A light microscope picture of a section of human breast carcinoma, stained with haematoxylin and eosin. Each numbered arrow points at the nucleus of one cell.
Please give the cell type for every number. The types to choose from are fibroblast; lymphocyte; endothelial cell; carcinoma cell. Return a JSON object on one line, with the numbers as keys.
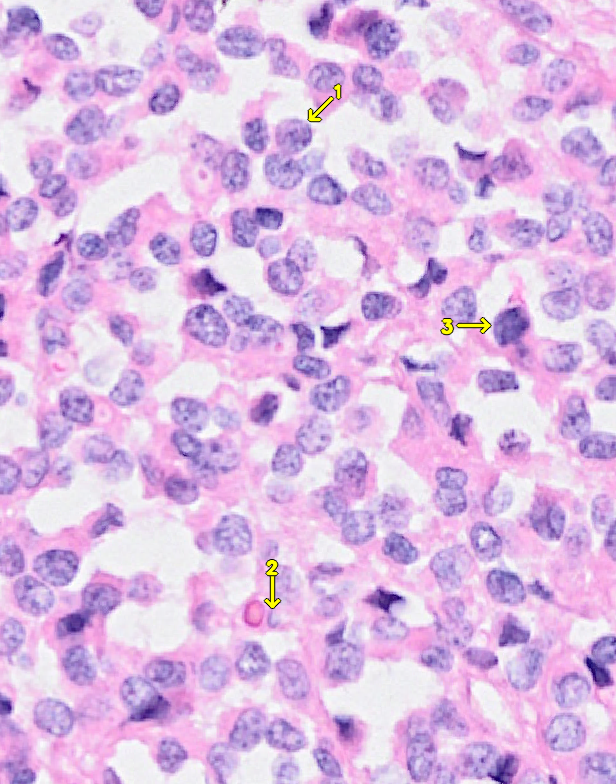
{"1": "carcinoma cell", "2": "endothelial cell", "3": "carcinoma cell"}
